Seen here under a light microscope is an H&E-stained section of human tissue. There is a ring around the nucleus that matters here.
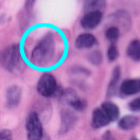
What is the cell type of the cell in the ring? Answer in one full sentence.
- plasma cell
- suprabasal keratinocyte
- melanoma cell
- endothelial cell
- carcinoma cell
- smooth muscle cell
Labelled by cell type, the cell in the ring is an endothelial cell.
